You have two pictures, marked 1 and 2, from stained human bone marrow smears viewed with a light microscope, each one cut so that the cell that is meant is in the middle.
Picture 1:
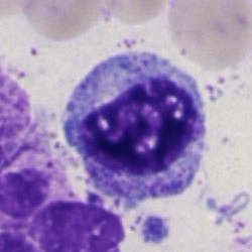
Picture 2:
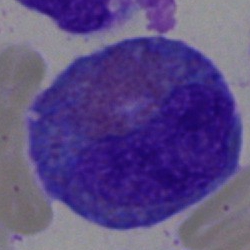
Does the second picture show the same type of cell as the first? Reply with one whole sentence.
No, picture 1 shows a myelocyte and picture 2 shows an eosinophil.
